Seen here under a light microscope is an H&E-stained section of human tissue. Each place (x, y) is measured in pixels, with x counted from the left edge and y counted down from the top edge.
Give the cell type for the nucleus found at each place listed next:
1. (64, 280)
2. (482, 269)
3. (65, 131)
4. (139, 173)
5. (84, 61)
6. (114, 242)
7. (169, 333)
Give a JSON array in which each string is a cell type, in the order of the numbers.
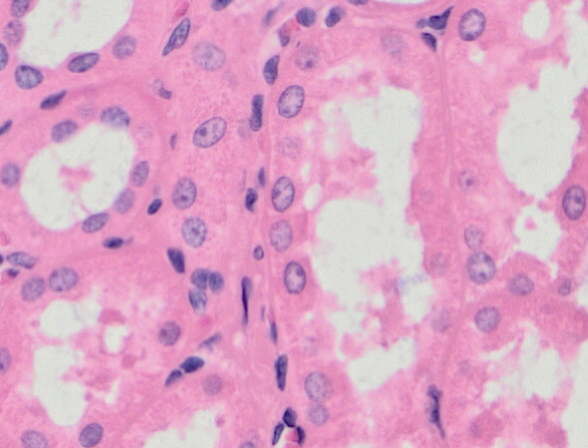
["proximal tubule cell", "proximal tubule cell", "loop of Henle or distal tubule cell", "loop of Henle or distal tubule cell", "loop of Henle or distal tubule cell", "endothelial cell", "proximal tubule cell"]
